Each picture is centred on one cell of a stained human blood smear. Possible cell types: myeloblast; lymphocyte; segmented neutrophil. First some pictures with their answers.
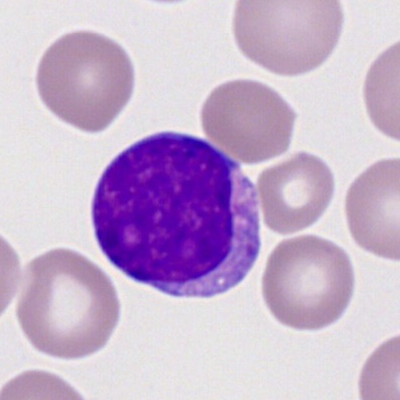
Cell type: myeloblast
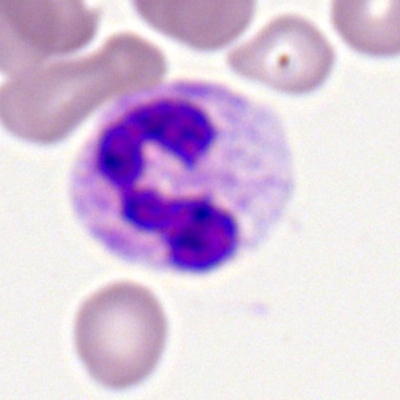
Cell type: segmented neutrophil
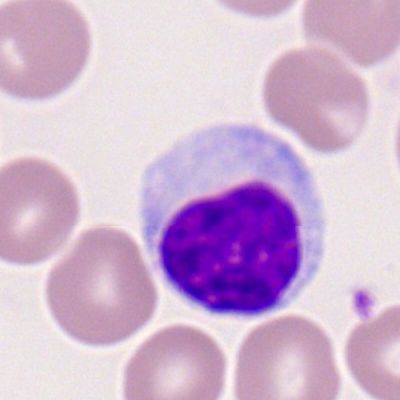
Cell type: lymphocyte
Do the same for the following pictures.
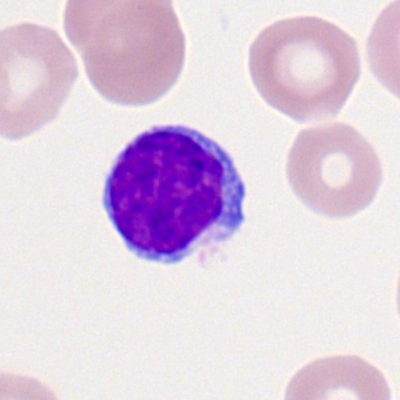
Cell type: lymphocyte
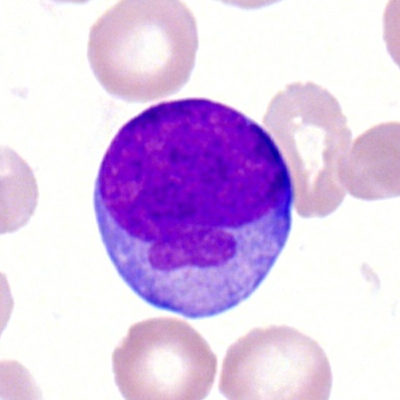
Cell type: myeloblast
